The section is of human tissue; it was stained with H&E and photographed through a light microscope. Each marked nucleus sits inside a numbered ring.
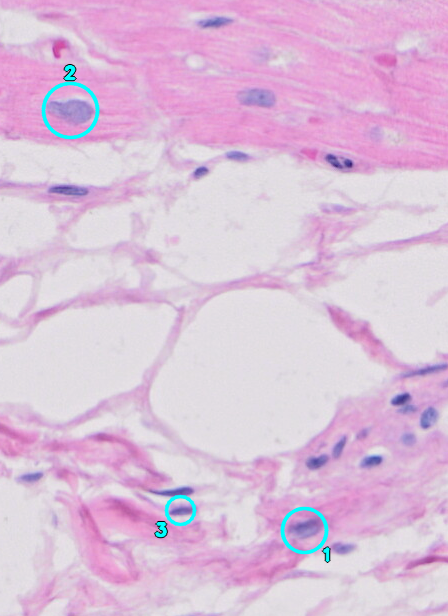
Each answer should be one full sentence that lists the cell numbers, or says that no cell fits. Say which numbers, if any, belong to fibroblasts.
The cells assigned the numbers 1 and 3 are fibroblasts.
